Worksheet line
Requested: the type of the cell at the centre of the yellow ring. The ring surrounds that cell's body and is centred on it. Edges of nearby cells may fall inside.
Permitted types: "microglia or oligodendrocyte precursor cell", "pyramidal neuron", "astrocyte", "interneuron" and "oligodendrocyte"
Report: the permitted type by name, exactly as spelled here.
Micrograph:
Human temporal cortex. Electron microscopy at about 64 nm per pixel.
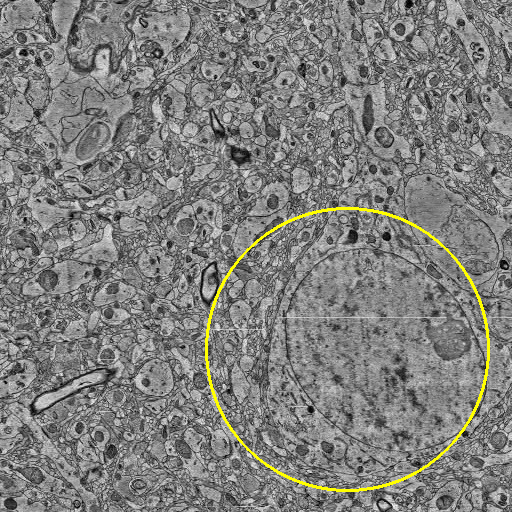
pyramidal neuron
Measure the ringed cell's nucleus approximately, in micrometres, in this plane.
About 14 micrometres by about 12 micrometres in this plane.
